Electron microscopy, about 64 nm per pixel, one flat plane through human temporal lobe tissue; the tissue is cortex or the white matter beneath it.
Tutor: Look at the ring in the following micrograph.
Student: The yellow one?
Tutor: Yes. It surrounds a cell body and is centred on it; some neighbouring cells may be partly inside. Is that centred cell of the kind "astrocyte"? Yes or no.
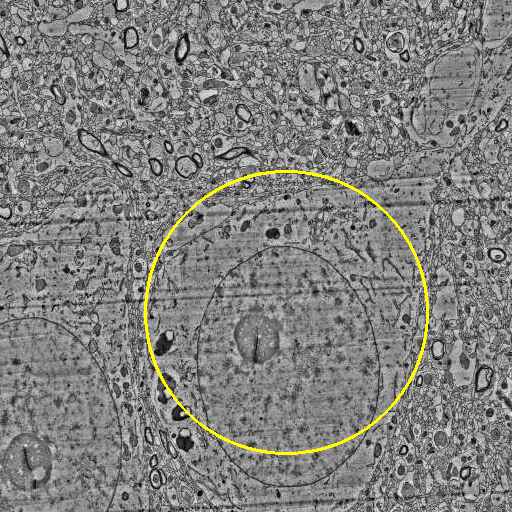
no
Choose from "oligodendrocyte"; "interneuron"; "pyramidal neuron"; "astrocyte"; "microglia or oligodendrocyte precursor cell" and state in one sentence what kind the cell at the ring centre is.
Instead, the ringed cell here is a pyramidal neuron.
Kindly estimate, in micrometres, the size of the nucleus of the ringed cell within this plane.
Roughly 15 micrometres by 12 micrometres, in this plane.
